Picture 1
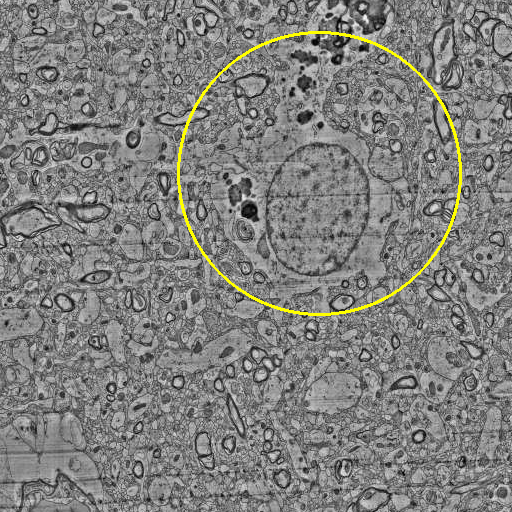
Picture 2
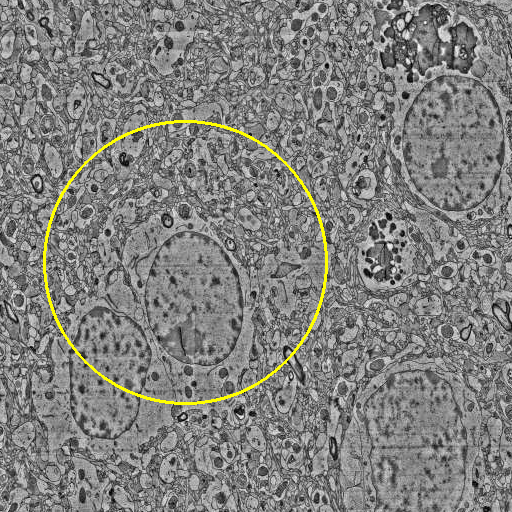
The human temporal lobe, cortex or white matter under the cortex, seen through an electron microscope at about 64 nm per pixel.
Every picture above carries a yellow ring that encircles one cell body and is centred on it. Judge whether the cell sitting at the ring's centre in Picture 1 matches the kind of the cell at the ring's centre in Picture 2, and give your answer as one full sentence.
Yes, the cells centred in the rings of Pictures 1 and 2 belong to one kind.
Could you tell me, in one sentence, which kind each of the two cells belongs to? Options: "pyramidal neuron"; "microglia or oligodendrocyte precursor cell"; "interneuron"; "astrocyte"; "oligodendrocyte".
Both the first and the second picture show an astrocyte in the ring.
